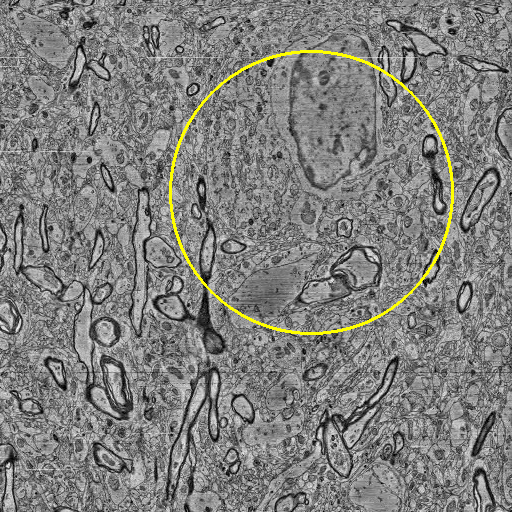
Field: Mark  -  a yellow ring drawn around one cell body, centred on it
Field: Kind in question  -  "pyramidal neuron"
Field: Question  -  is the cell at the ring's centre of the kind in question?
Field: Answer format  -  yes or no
no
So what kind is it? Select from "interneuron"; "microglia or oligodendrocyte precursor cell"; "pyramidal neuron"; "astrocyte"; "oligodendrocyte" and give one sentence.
It is a microglial cell or oligodendrocyte precursor cell that the ring is centred on.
